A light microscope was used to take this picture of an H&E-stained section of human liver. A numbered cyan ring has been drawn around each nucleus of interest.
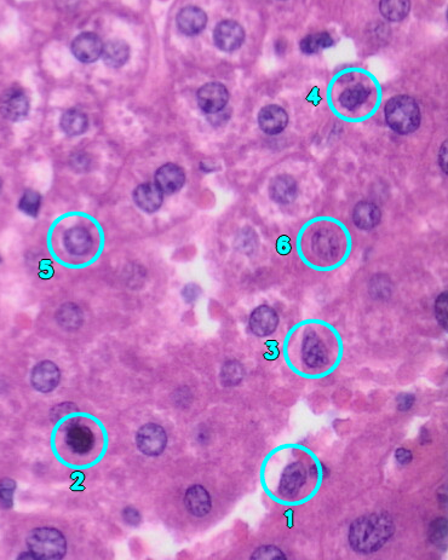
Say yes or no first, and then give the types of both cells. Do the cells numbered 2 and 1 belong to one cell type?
No, sorry, cell 2 is a hepatocyte and cell 1 is a Kupffer cell.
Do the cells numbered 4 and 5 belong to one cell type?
No, cell 4 is classed as a fibroblast or stellate cell and cell 5 as a hepatocyte.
